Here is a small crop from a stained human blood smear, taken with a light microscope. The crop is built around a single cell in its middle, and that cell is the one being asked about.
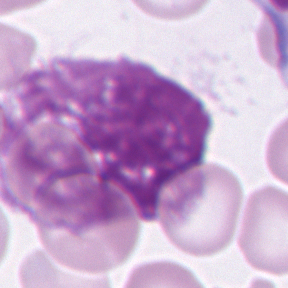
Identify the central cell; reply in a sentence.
Occupying the centre of the crop is a smudge cell.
